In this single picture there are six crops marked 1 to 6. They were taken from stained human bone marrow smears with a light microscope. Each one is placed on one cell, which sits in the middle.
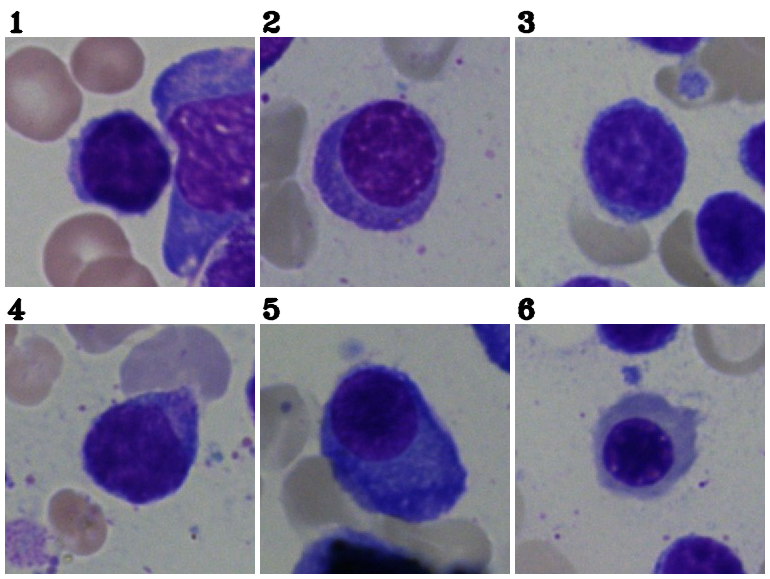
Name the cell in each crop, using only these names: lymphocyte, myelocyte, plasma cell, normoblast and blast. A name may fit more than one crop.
1: lymphocyte
2: plasma cell
3: lymphocyte
4: lymphocyte
5: plasma cell
6: normoblast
